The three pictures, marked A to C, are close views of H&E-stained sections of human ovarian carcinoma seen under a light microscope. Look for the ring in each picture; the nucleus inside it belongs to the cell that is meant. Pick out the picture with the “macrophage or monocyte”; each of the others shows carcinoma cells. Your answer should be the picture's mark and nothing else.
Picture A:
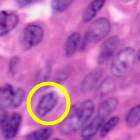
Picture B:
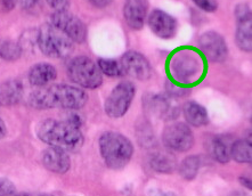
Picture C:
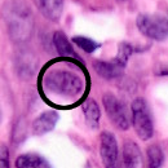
A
